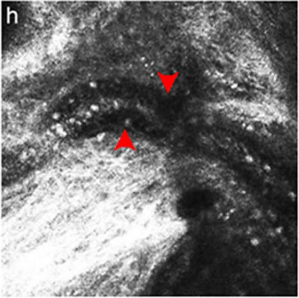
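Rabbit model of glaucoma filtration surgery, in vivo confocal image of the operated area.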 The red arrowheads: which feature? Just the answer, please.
large vasculature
